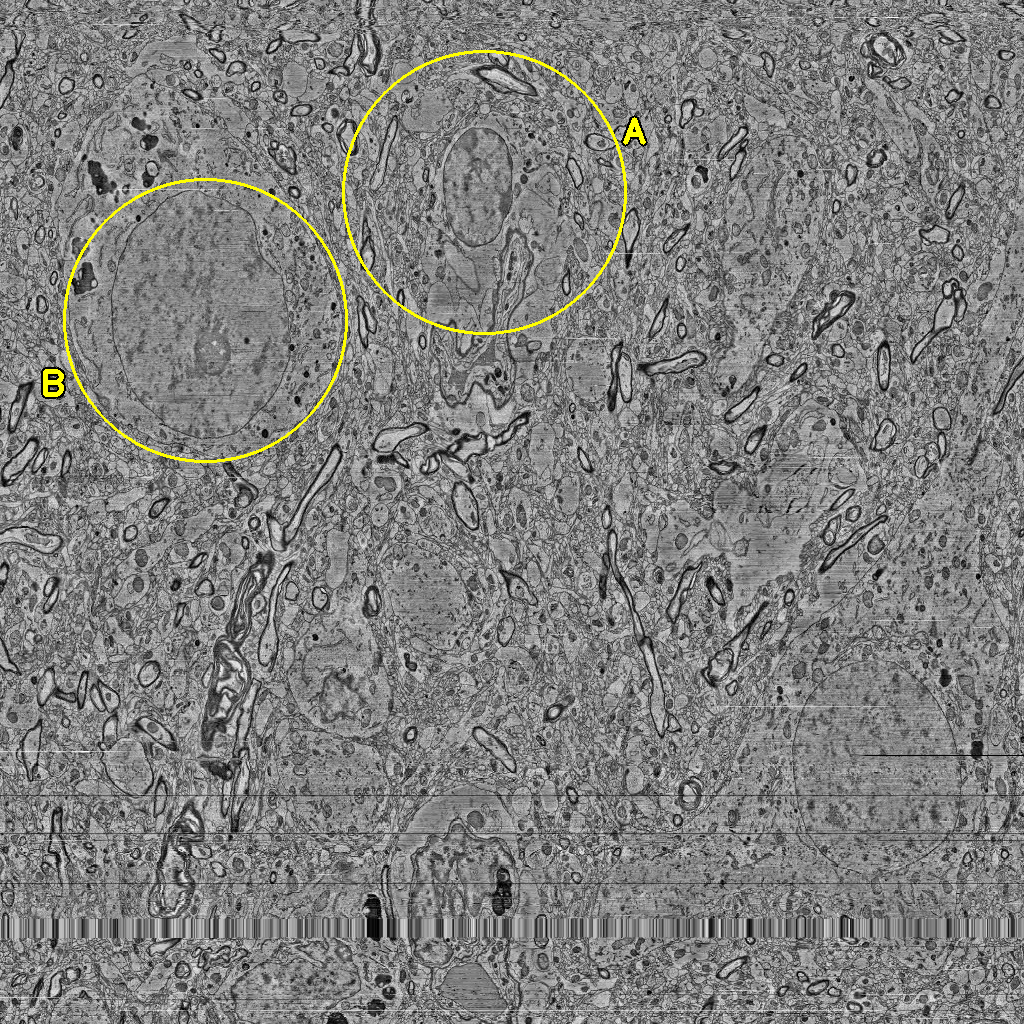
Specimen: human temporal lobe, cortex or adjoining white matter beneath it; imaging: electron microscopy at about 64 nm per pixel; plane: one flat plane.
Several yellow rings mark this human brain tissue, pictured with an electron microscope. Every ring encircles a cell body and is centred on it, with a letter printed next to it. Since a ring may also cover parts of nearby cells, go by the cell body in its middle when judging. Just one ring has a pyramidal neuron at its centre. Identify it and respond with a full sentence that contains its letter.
The answer is ring B, whose centre rests on the cell asked for.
